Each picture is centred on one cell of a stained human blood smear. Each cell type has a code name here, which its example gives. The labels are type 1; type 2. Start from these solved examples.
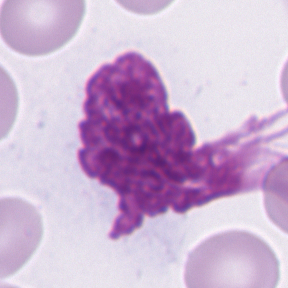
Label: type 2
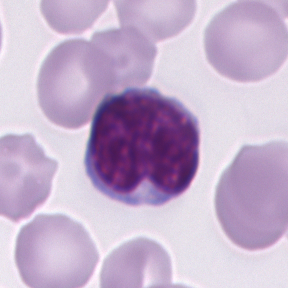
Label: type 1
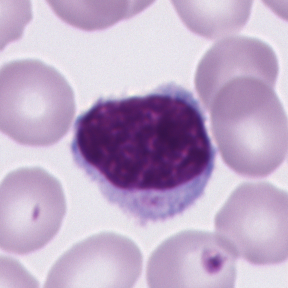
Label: type 1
